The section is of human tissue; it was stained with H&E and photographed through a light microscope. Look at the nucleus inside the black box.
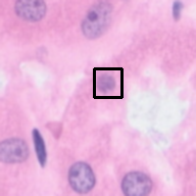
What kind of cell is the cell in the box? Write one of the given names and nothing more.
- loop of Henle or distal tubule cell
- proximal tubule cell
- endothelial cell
proximal tubule cell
